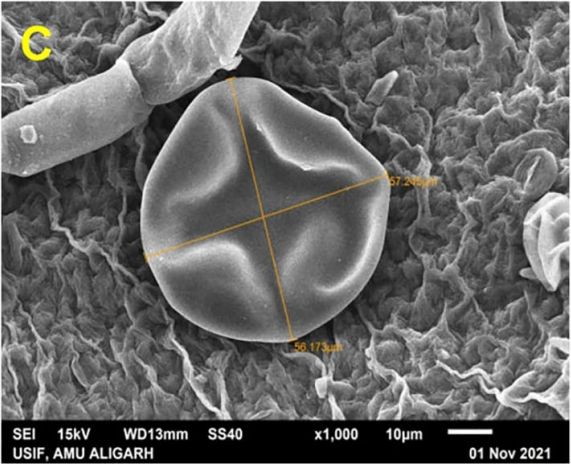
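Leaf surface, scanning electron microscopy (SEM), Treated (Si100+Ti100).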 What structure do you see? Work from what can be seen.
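A single round disc-shaped head sits on the surface. Its smooth surface shows four lobes separated by a cross-shaped set of furrows. The answer: glandular trichomes.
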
